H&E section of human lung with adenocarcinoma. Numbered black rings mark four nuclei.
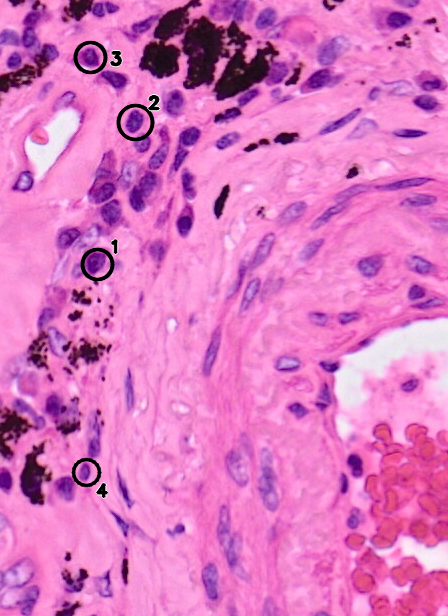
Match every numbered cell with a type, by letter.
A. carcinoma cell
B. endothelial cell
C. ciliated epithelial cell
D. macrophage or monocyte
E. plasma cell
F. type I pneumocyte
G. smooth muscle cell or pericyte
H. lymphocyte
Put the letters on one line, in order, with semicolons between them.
E; H; E; H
